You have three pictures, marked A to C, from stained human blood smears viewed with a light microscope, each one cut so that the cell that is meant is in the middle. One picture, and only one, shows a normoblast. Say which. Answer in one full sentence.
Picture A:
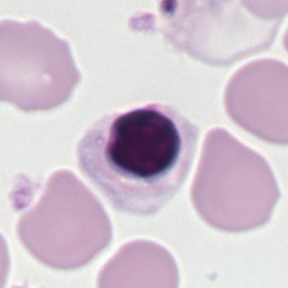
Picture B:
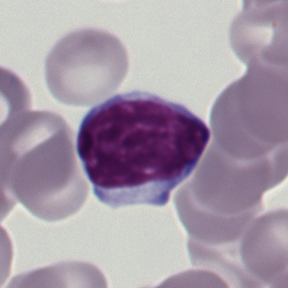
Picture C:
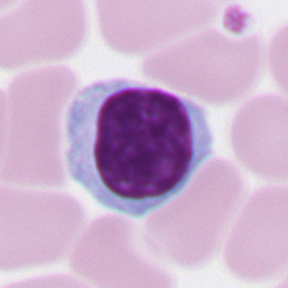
The picture with the normoblast is A.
